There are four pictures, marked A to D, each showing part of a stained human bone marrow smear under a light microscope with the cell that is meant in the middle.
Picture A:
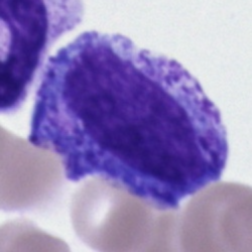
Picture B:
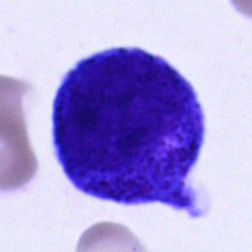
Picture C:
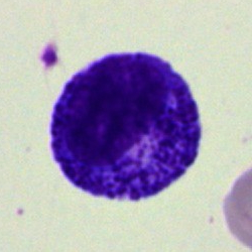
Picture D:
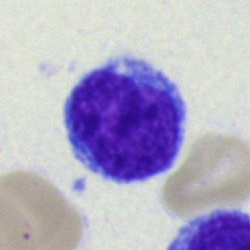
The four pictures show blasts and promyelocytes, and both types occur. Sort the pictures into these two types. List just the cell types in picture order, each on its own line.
promyelocyte
promyelocyte
promyelocyte
blast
